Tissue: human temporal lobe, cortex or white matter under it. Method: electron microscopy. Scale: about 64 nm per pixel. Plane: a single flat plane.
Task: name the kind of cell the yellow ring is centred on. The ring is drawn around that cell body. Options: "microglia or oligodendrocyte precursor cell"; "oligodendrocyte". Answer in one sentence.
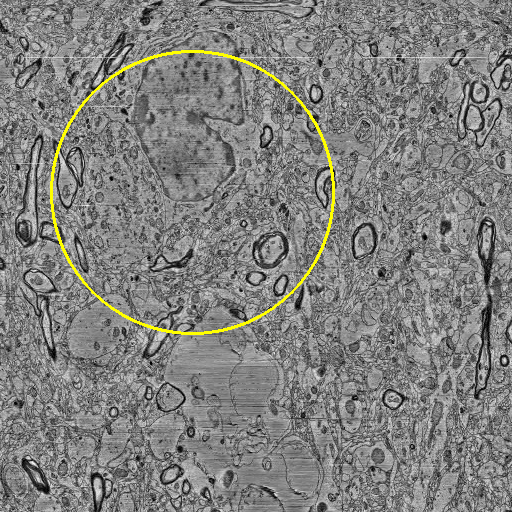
This cell body belongs to a microglial cell or oligodendrocyte precursor cell.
